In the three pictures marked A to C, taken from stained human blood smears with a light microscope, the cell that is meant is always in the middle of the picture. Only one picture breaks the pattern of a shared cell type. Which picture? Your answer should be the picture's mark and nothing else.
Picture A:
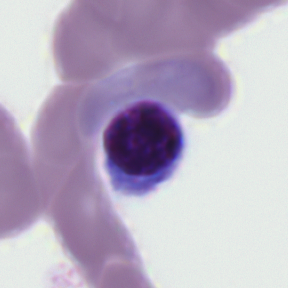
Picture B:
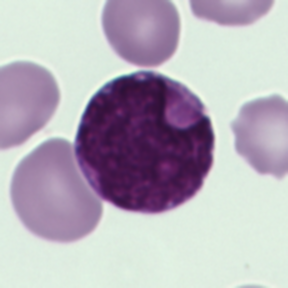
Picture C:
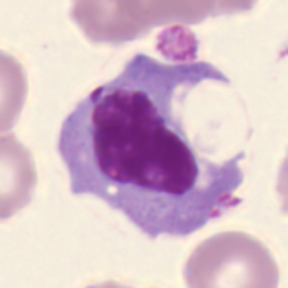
B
